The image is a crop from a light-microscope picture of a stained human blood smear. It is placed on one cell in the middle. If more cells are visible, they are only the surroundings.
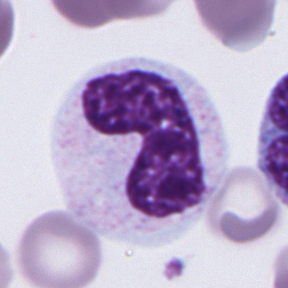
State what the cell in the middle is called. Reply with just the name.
band neutrophil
